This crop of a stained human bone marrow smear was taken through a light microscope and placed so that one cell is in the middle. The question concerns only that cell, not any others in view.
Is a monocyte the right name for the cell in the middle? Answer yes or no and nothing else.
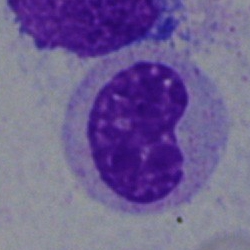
no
